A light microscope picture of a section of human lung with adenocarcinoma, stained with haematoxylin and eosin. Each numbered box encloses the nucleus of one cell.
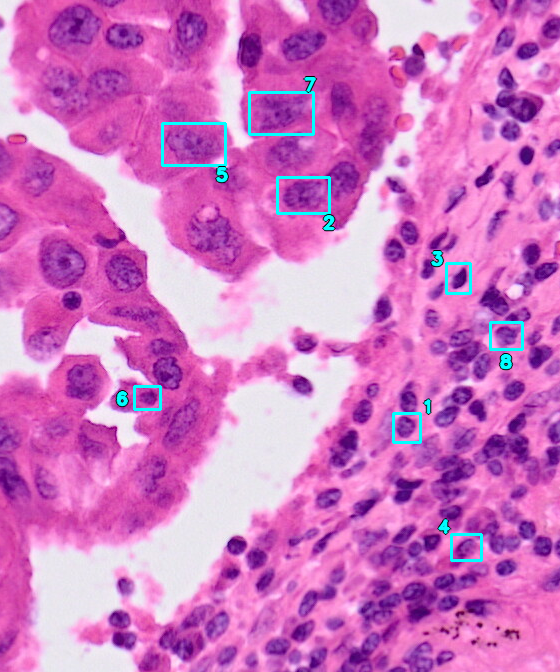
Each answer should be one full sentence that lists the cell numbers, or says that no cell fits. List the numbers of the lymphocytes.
Cells numbered 1, 3, 4 and 8 belong to the group of lymphocytes.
